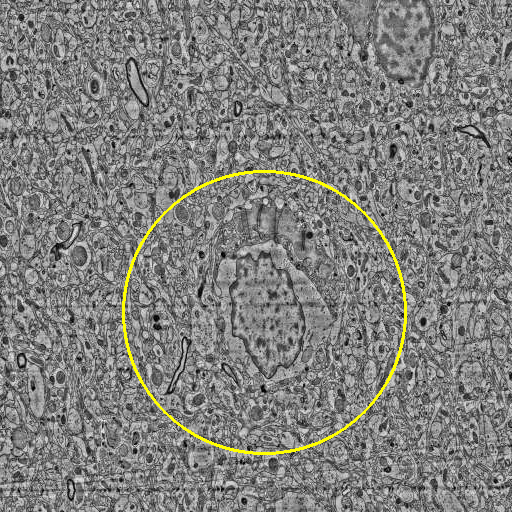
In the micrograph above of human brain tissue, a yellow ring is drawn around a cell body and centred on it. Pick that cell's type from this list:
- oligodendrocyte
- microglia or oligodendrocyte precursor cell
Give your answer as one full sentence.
Going by the list, a microglial cell or oligodendrocyte precursor cell is the cell on which the yellow ring is centred.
